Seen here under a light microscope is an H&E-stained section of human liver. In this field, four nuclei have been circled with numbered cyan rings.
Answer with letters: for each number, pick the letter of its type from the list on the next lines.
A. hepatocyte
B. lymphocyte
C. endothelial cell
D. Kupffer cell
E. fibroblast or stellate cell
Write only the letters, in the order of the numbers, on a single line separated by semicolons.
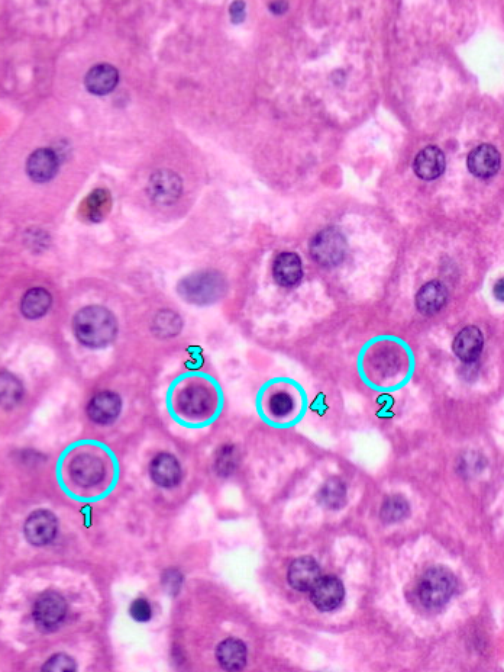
A; A; A; B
